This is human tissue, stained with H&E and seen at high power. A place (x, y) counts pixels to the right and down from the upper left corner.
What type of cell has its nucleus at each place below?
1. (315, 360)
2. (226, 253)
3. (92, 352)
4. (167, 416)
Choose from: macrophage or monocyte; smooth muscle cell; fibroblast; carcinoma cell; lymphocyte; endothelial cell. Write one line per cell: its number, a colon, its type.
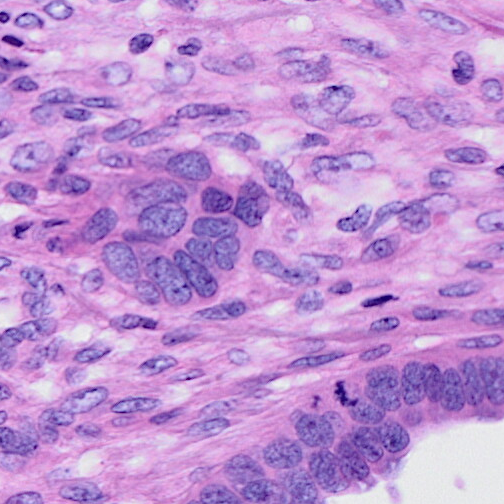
1: fibroblast
2: carcinoma cell
3: fibroblast
4: fibroblast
